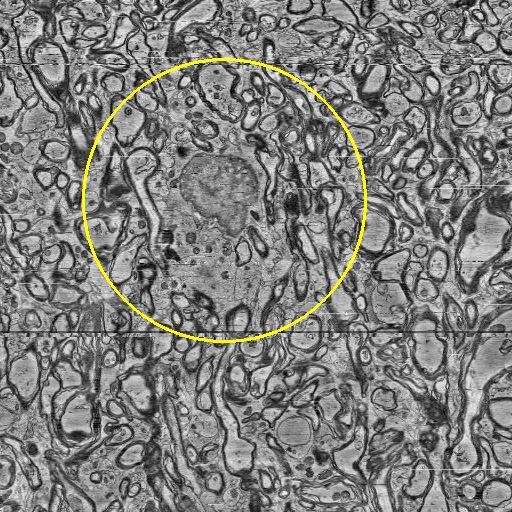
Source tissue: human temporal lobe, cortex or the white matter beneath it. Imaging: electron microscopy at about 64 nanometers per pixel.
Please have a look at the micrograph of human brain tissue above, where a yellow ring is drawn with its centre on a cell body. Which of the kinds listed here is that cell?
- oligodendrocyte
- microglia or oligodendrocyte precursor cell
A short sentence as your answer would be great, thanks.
At the centre of the ring sits an oligodendrocyte.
